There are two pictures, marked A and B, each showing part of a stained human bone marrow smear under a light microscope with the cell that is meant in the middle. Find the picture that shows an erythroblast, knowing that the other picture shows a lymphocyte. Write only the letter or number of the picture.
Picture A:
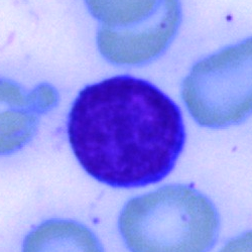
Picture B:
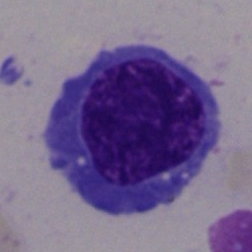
B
